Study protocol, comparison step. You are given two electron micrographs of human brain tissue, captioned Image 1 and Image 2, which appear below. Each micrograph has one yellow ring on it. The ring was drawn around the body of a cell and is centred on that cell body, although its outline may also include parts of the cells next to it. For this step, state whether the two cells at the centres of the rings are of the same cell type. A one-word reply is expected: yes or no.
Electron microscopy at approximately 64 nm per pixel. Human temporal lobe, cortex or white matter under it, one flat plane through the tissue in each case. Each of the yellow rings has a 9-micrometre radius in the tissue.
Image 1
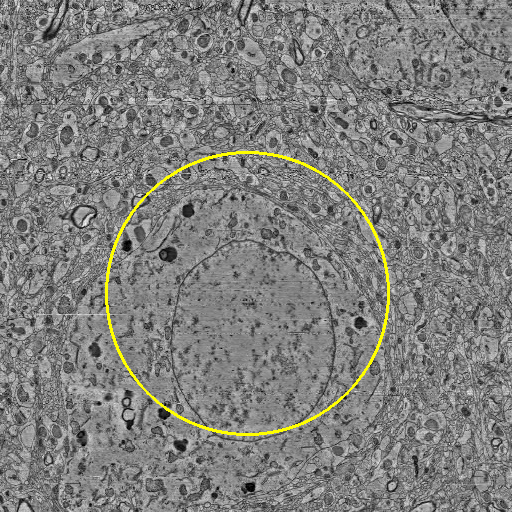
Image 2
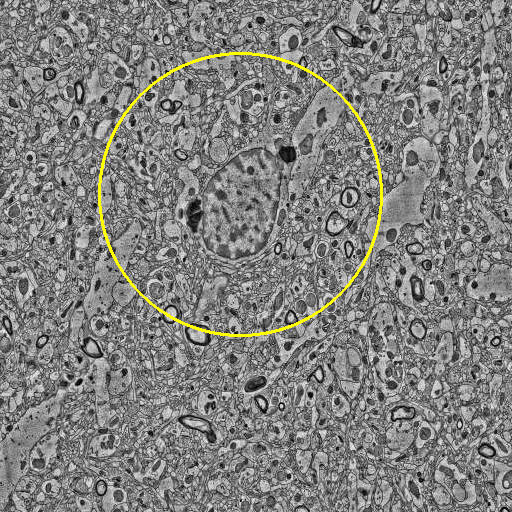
no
